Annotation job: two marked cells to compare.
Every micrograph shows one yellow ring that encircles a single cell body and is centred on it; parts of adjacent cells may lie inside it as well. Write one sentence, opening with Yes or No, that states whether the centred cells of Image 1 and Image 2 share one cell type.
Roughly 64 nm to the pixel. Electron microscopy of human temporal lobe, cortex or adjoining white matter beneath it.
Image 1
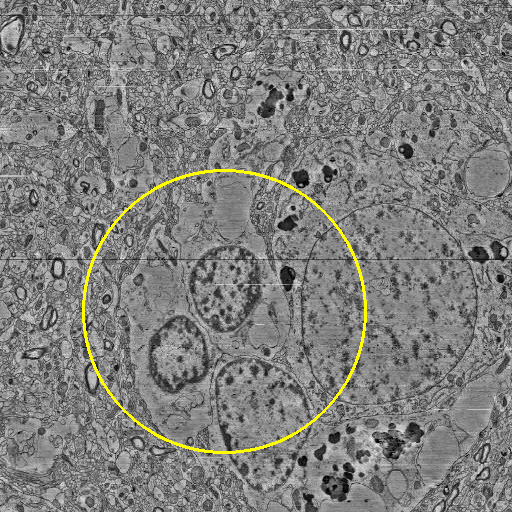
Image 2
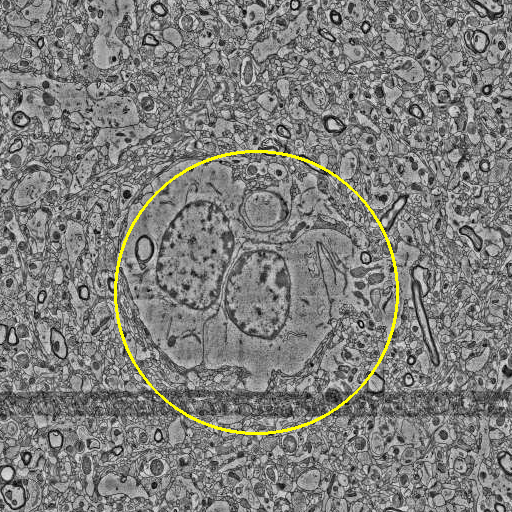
Yes, the cell centred in Image 1 shares its type with the cell centred in Image 2.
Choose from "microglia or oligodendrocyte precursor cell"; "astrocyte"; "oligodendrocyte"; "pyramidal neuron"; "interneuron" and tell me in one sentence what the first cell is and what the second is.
The cell in the first picture is an astrocyte, and so is the one in the second.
